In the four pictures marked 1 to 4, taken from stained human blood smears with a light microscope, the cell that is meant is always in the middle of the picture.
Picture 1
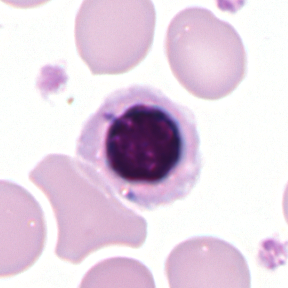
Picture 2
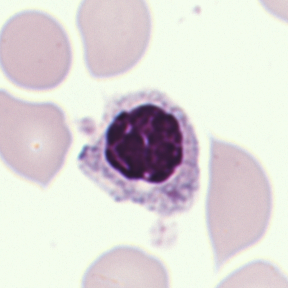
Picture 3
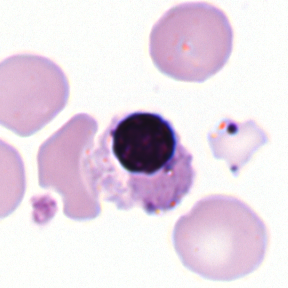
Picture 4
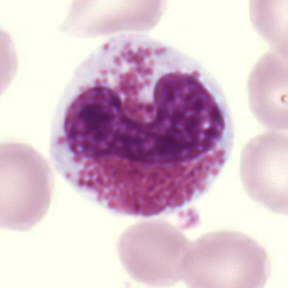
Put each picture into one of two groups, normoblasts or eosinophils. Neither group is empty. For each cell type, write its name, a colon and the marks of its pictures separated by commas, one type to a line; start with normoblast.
normoblast: 1, 2, 3
eosinophil: 4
